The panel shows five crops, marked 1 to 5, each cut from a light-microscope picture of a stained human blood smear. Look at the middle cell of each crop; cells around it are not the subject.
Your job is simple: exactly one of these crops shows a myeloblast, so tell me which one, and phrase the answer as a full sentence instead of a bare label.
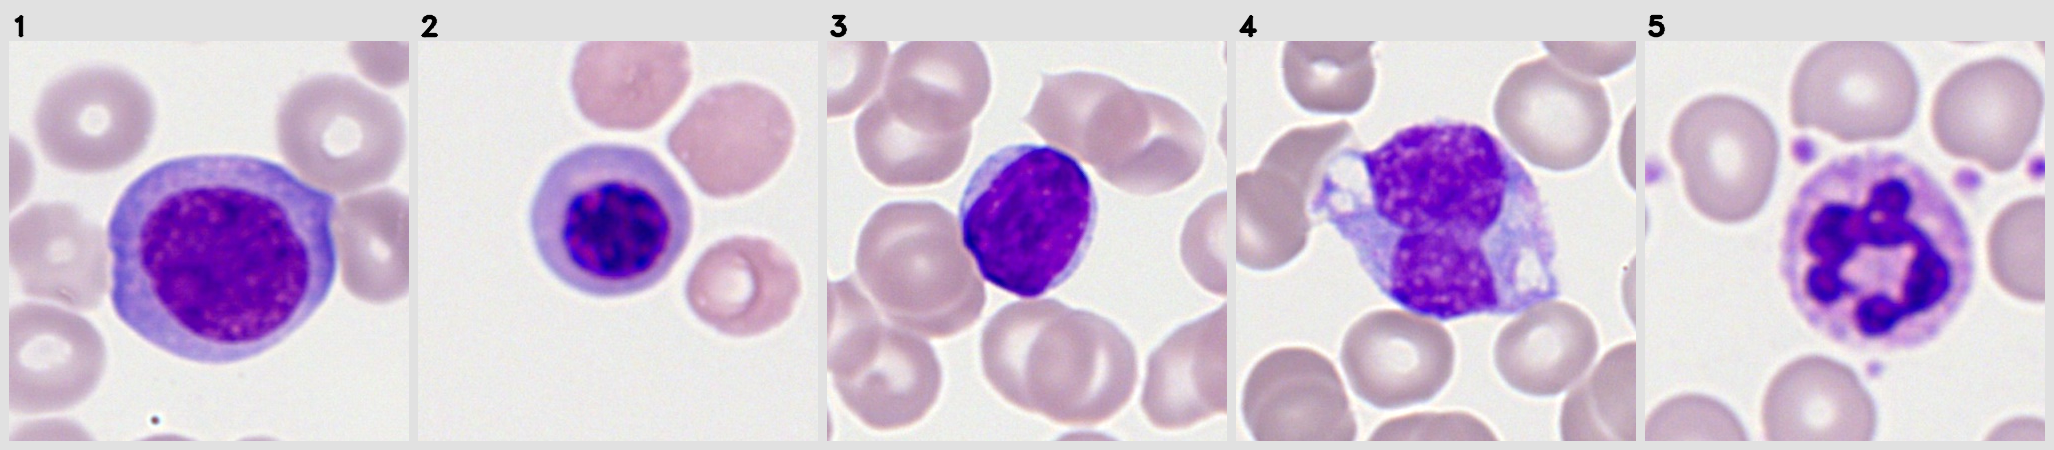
The one crop in the set with a myeloblast is crop 1.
